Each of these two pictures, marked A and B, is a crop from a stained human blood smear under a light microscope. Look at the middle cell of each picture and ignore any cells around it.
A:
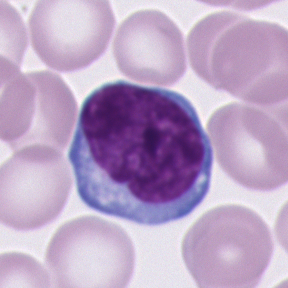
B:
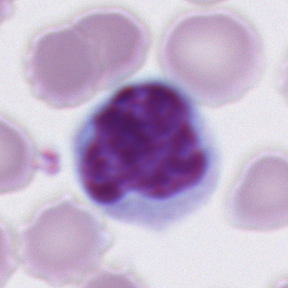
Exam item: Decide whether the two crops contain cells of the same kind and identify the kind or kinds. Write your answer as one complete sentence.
Yes, lymphocytes are depicted in both crops.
